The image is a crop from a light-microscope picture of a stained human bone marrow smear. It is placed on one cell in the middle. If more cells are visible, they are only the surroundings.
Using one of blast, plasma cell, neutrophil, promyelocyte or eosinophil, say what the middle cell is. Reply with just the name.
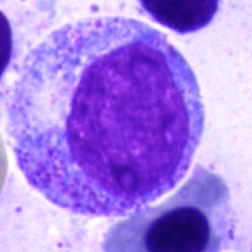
promyelocyte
